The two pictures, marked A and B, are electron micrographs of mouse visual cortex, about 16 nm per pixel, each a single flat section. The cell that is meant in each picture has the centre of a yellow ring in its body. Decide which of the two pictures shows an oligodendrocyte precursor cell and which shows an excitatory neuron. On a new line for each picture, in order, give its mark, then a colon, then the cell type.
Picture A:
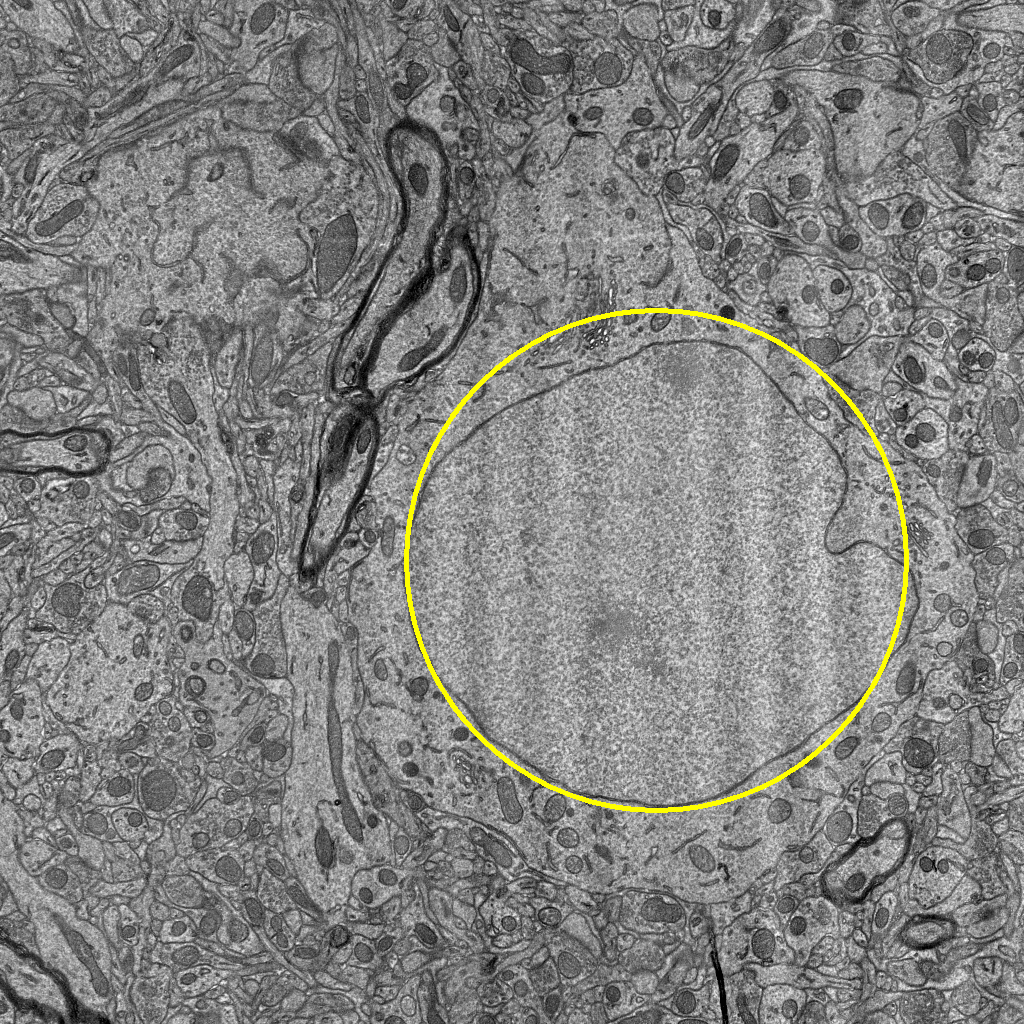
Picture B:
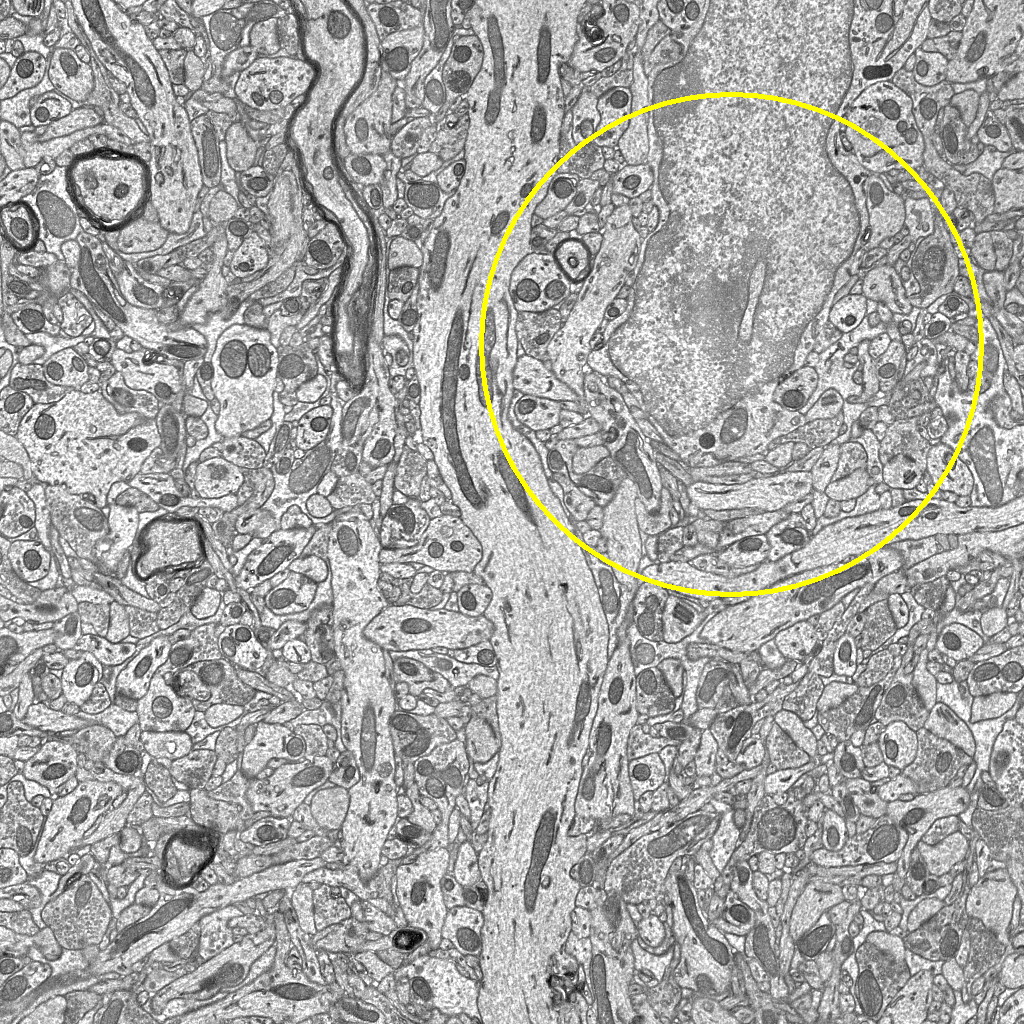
A: excitatory neuron
B: oligodendrocyte precursor cell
